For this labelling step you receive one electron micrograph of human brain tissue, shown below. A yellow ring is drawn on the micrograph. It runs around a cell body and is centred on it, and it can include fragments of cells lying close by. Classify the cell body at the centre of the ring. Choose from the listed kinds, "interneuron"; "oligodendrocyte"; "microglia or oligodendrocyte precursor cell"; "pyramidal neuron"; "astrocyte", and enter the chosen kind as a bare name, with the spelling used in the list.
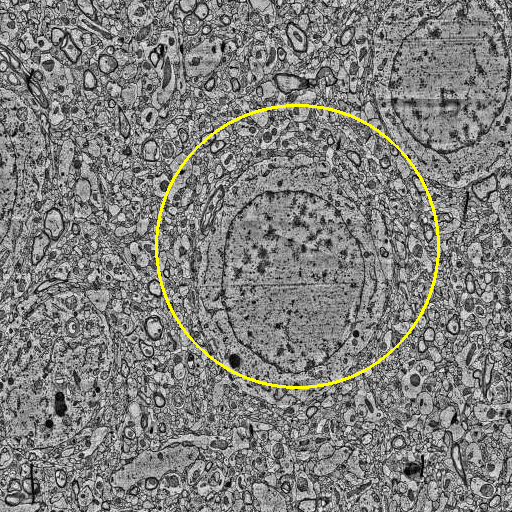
pyramidal neuron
